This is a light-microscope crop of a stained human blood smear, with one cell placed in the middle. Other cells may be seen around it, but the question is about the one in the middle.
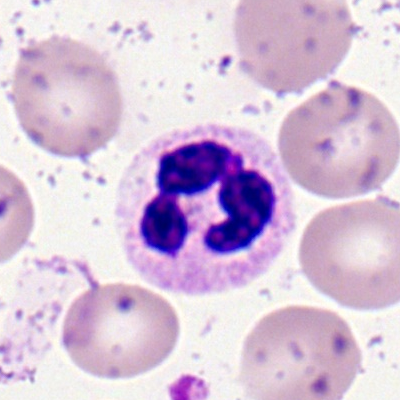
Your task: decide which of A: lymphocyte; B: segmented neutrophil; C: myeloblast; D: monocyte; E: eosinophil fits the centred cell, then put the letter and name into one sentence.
Option B is the right one, for the cell in the middle is a segmented neutrophil.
